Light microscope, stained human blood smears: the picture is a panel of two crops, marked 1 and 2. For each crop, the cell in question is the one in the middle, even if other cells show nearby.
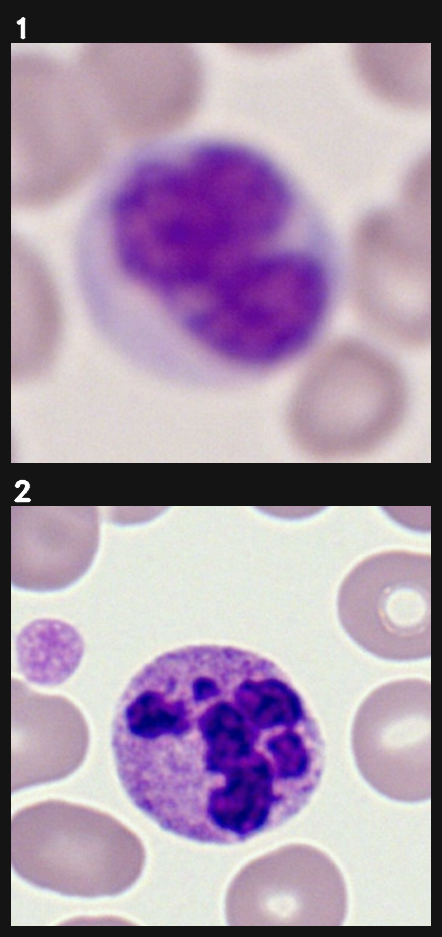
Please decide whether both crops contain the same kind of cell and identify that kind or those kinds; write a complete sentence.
No, crop 1 captures a monocyte; meanwhile crop 2 captures a segmented neutrophil.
